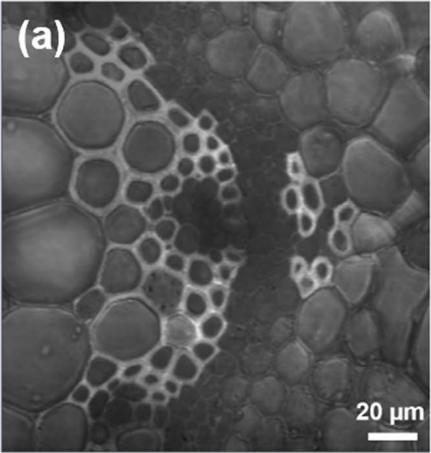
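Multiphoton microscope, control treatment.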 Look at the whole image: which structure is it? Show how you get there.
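Vascular beams. Clusters of small polygonal cells with thick, bright walls. These clusters lie between larger, thin-walled rounded cells.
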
